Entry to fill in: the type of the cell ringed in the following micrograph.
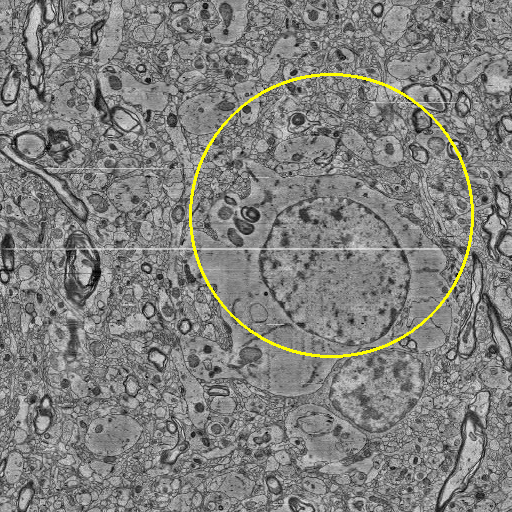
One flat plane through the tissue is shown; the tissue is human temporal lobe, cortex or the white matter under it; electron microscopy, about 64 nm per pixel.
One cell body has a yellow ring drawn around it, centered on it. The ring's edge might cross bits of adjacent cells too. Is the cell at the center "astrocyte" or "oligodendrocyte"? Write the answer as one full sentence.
This entry names an astrocyte as the cell whose body lies at the ring's center.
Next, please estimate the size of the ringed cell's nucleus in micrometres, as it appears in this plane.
In this plane the nucleus spans approximately 10 by 9 micrometers.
